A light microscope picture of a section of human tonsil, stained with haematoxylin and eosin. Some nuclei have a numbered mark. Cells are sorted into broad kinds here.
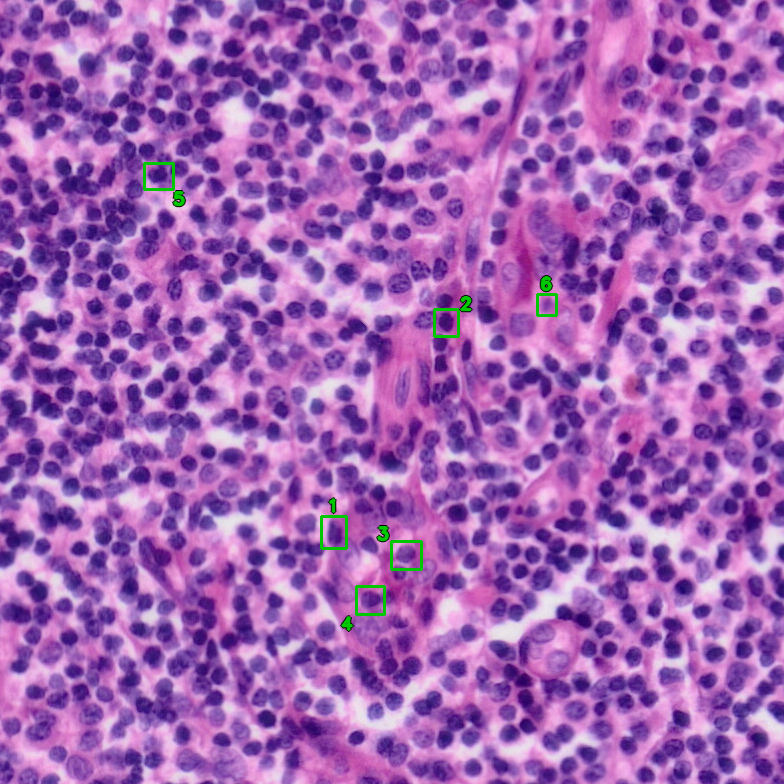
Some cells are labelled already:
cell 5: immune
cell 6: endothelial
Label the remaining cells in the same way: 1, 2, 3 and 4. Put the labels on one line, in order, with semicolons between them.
endothelial; immune; endothelial; endothelial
